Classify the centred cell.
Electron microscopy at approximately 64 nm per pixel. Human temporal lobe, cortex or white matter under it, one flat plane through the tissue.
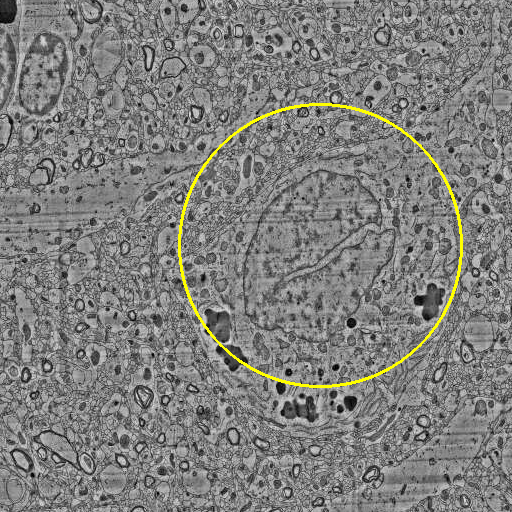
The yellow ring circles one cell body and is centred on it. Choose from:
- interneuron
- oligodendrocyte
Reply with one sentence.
The ring is centred on an interneuron.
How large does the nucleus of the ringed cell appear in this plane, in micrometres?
In this plane the nucleus is about 11 micrometres by 9.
